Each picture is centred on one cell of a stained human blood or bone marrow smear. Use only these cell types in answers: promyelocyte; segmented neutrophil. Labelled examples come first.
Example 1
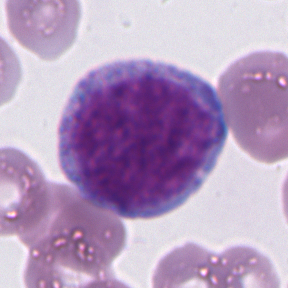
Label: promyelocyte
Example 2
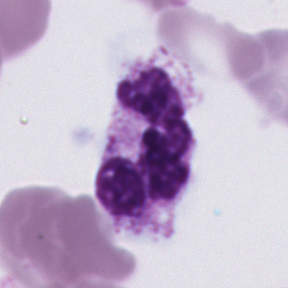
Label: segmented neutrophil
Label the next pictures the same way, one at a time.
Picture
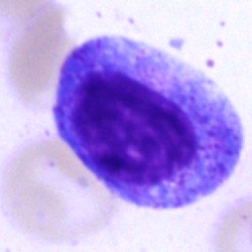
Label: promyelocyte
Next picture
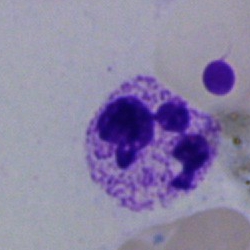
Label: segmented neutrophil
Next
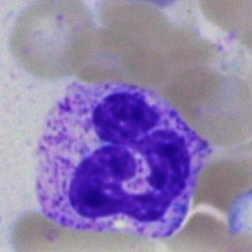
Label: segmented neutrophil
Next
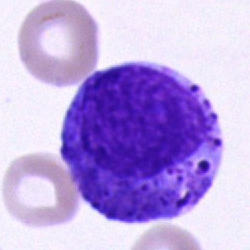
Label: promyelocyte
